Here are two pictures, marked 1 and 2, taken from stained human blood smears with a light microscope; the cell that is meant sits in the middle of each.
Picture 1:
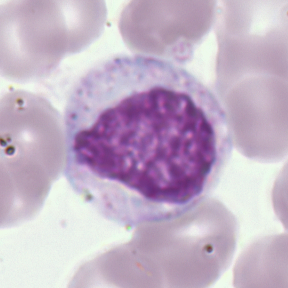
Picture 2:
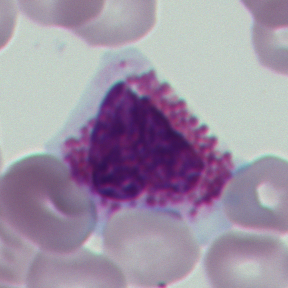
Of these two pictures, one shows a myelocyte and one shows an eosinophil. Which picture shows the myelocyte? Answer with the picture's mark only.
1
